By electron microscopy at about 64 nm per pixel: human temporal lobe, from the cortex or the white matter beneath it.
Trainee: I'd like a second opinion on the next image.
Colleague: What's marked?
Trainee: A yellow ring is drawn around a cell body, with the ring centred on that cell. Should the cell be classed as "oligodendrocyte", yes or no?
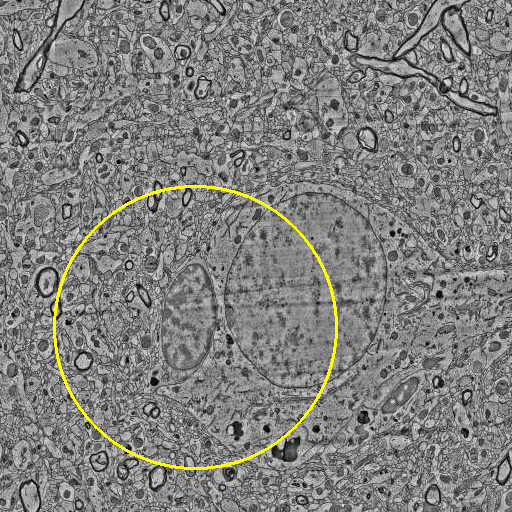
Yes, it should.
